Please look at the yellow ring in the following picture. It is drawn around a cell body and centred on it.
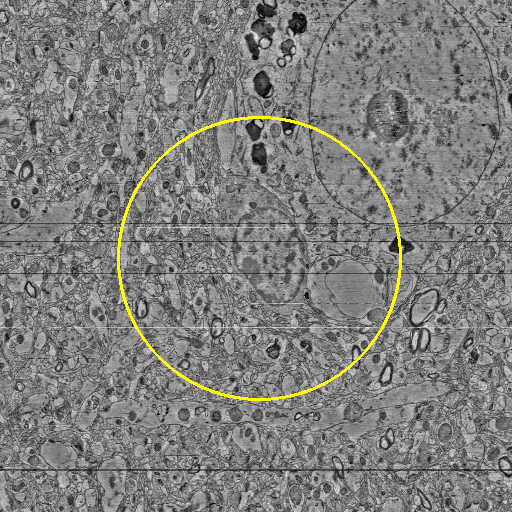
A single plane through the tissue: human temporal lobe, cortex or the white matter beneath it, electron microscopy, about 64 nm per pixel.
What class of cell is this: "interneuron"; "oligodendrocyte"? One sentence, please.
The ring surrounds the cell body of an oligodendrocyte.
